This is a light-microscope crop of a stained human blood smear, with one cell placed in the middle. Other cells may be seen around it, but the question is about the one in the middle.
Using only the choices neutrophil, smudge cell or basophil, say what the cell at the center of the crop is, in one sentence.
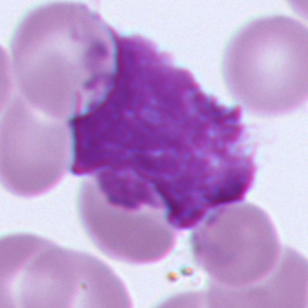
The central cell, amid any neighbouring cells, is a smudge cell.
